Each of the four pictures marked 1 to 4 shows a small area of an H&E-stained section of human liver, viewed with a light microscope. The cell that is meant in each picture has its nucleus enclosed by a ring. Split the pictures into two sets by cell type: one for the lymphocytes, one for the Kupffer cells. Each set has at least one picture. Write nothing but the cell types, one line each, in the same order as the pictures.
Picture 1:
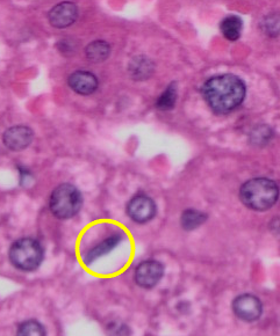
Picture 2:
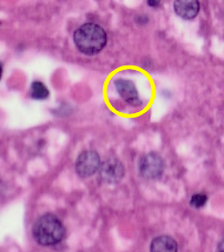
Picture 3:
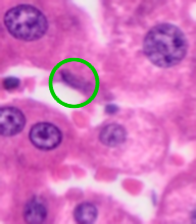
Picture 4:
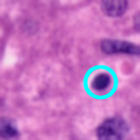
Kupffer cell
Kupffer cell
Kupffer cell
lymphocyte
